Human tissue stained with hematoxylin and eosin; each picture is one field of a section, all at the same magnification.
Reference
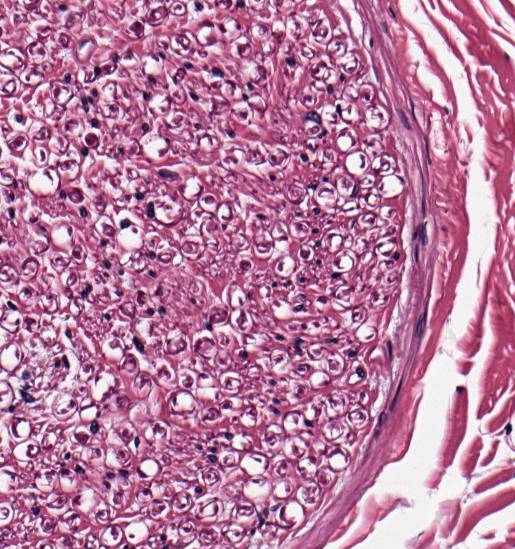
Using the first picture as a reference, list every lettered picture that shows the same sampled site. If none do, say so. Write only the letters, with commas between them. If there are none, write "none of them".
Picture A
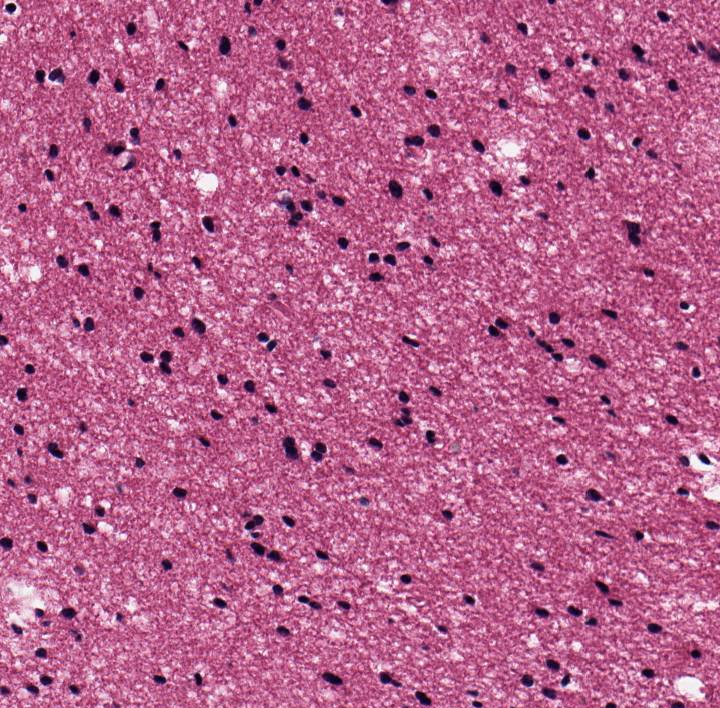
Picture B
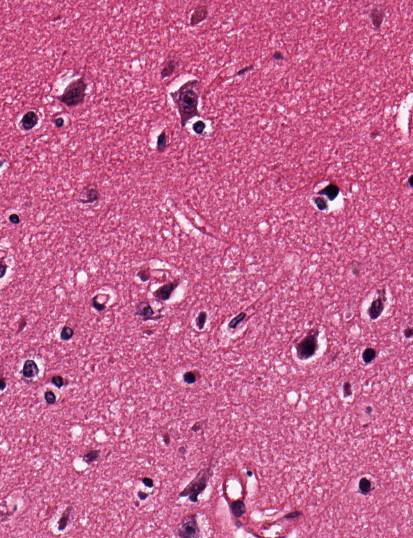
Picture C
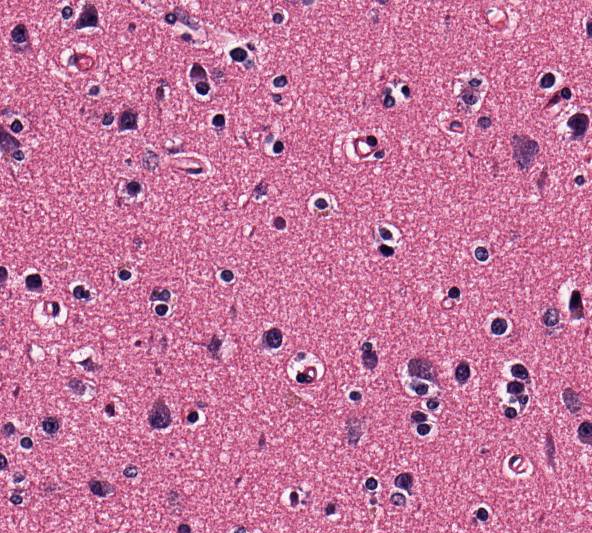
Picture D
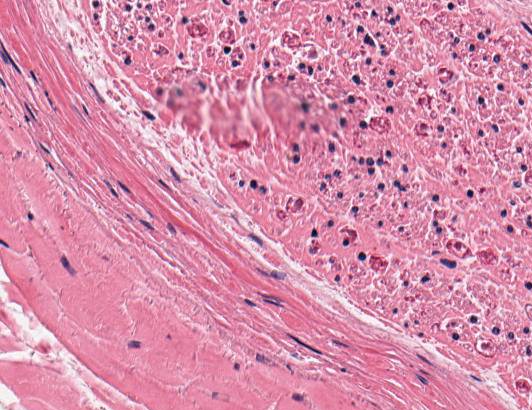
D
